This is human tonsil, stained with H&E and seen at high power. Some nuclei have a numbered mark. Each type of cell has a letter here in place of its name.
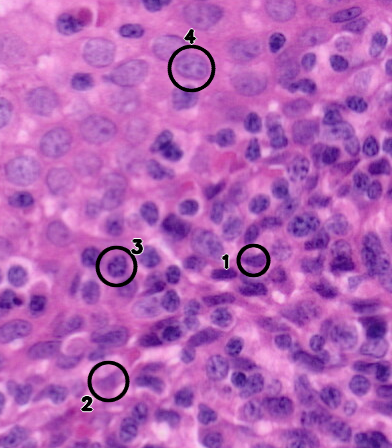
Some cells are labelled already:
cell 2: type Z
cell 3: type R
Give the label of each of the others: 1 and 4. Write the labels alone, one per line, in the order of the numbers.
type Z
type Z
